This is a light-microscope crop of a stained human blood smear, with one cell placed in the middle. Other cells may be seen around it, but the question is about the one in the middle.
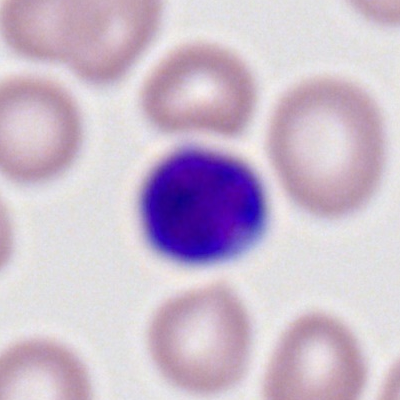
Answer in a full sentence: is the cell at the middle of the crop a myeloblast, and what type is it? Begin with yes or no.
No, in this crop the central cell is a lymphocyte instead of a myeloblast.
